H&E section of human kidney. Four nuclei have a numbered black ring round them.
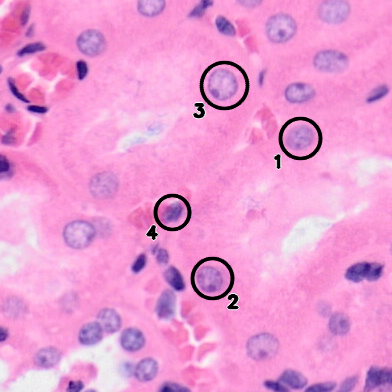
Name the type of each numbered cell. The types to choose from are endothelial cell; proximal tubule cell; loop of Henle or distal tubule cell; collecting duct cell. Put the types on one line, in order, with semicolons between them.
proximal tubule cell; proximal tubule cell; proximal tubule cell; endothelial cell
